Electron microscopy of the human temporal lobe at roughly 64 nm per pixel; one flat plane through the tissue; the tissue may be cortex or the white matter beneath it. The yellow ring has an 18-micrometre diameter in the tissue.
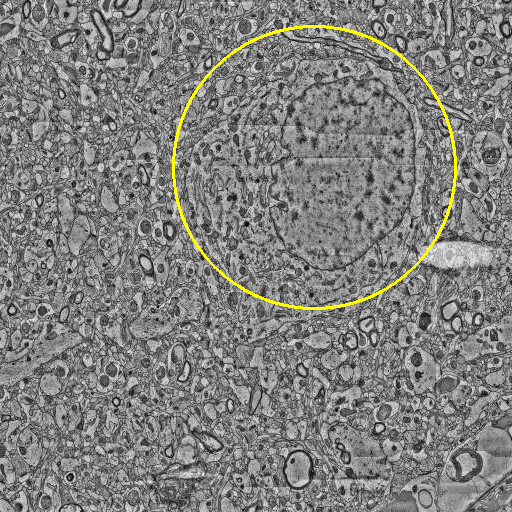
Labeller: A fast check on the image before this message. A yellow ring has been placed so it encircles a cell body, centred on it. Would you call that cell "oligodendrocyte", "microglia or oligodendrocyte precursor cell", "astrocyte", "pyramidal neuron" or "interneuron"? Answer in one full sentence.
In this image, an interneuron is the cell on which the yellow ring is centred.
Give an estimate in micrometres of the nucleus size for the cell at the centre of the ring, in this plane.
Approximately 13 by 9 micrometers in this plane.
